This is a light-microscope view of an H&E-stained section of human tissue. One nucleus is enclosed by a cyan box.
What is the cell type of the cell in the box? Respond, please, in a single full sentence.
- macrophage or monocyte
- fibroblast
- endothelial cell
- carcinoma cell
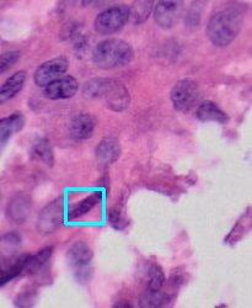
In this tissue sample, the cell in the box is an endothelial cell.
